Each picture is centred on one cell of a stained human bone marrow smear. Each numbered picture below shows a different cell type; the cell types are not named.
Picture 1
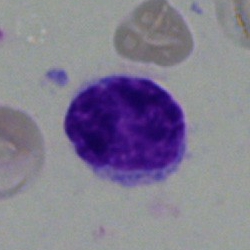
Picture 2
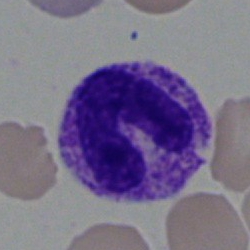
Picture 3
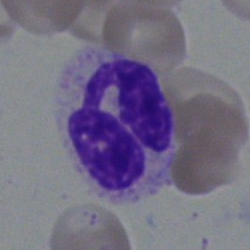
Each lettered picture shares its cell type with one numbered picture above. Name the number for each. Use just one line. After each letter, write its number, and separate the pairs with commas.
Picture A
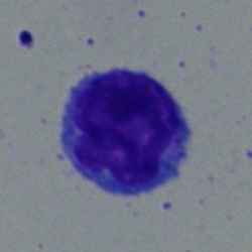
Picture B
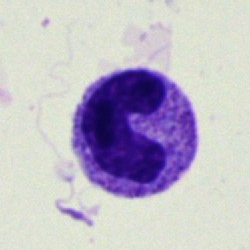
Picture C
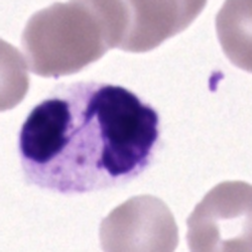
A 1, B 2, C 3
